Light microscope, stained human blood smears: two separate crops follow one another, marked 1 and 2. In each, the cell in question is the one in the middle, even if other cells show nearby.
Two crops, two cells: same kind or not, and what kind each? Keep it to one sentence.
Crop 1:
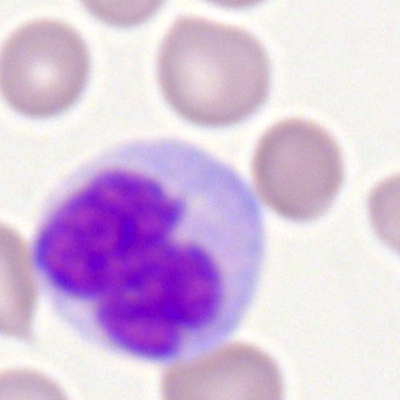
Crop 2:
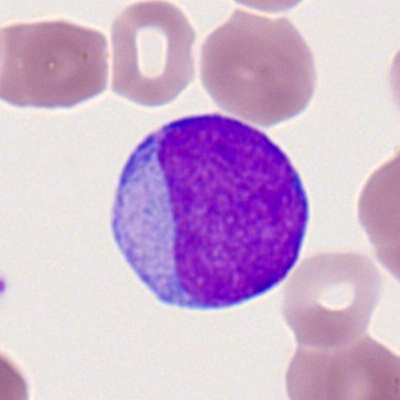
No, the cells are a monocyte in crop 1 and a myeloblast in crop 2.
